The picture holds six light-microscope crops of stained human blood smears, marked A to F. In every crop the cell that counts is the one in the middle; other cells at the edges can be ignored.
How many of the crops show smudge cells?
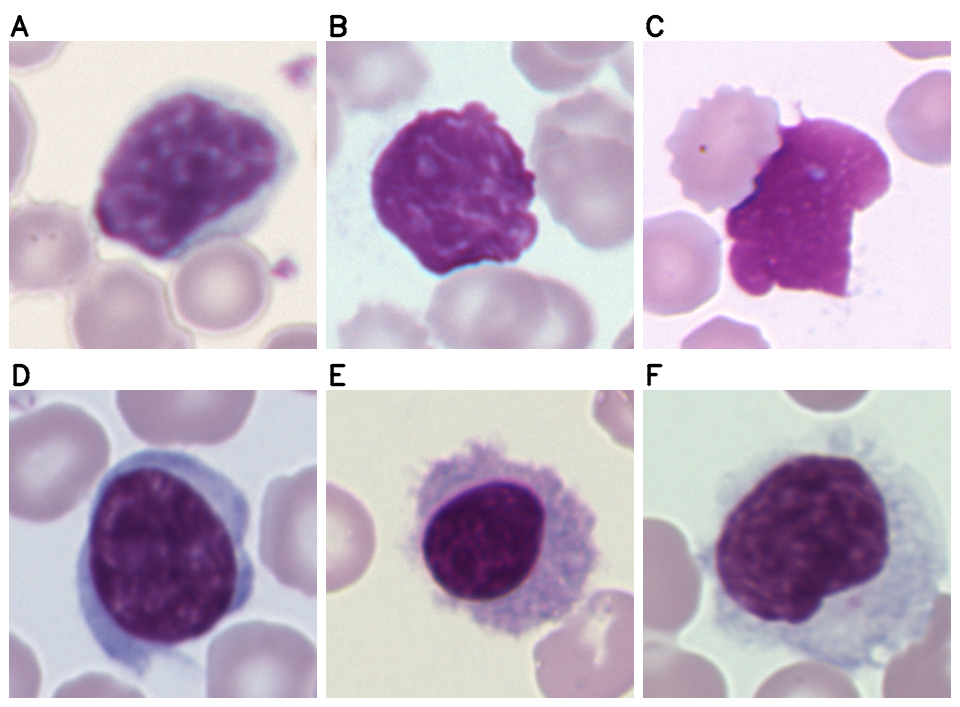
2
